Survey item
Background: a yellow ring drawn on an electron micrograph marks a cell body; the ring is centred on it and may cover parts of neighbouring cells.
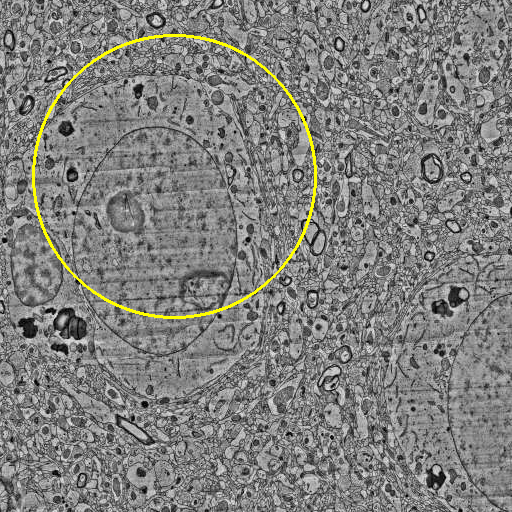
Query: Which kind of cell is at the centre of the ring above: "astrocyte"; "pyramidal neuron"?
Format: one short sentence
The cell in the middle of the ring is a pyramidal neuron.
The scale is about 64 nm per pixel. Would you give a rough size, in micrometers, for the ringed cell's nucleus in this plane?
Approximately 15 x 10 micrometres in this plane.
